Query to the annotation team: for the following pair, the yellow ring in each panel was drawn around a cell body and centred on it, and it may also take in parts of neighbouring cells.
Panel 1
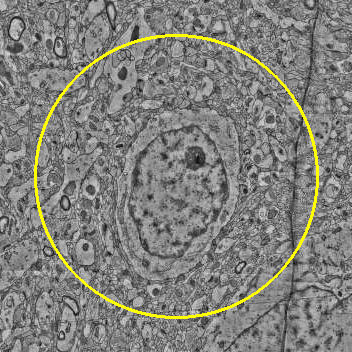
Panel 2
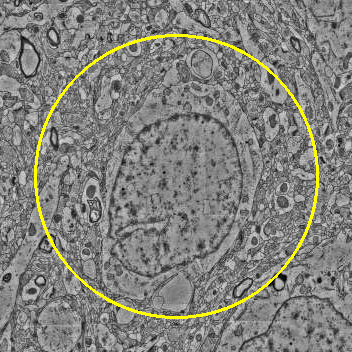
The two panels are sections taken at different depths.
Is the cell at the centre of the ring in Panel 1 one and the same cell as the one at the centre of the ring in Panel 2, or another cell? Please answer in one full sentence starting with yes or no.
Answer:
Yes, what the two rings mark is one cell.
